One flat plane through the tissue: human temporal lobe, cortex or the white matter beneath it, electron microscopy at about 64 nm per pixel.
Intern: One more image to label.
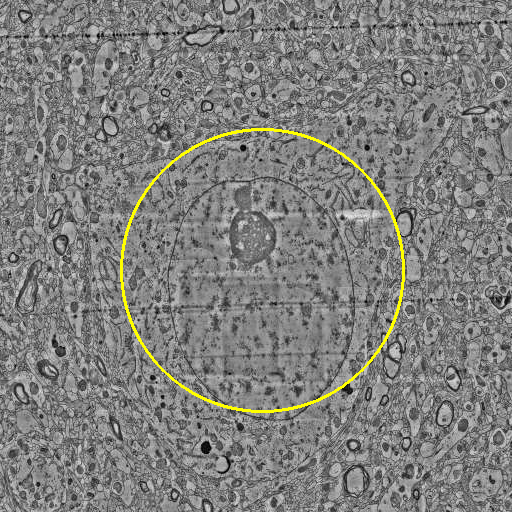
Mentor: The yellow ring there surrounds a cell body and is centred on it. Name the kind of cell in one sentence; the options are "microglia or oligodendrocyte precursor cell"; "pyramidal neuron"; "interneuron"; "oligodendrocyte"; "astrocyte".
The ring marks the cell body of a pyramidal neuron.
